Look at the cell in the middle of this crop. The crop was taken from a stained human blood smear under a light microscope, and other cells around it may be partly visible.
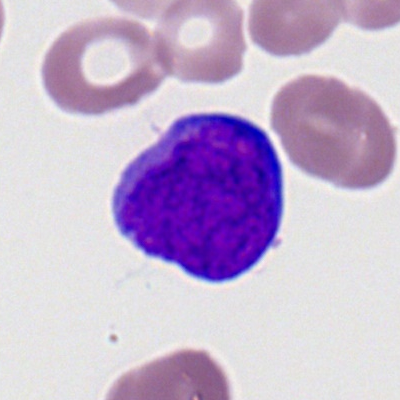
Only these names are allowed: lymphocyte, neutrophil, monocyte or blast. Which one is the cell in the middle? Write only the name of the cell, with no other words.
blast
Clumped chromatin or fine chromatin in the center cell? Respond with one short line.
What stands out is chromatin that is coarsely clumped.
